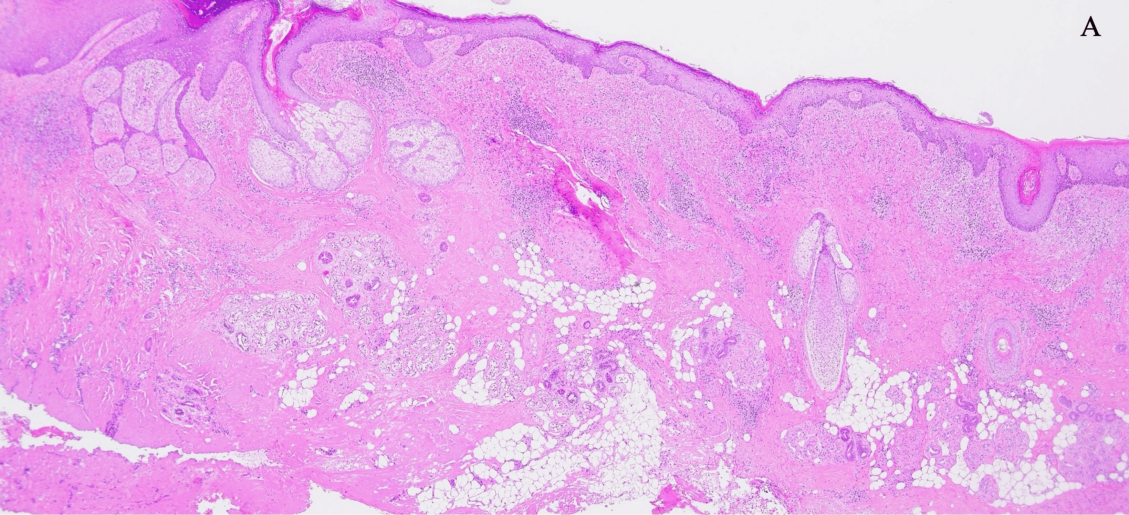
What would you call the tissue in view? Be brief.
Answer: full-thickness skin layer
